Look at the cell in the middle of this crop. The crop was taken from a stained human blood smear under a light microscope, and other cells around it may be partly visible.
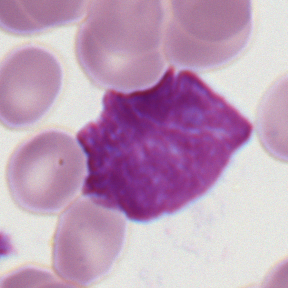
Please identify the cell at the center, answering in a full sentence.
The cell of interest, located centrally, is a smudge cell.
